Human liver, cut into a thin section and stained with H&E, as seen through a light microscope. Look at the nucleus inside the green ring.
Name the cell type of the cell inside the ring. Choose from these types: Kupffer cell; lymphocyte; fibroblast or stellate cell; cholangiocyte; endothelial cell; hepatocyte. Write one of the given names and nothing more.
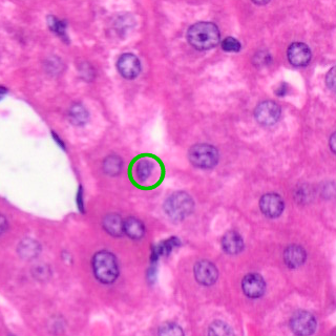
fibroblast or stellate cell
